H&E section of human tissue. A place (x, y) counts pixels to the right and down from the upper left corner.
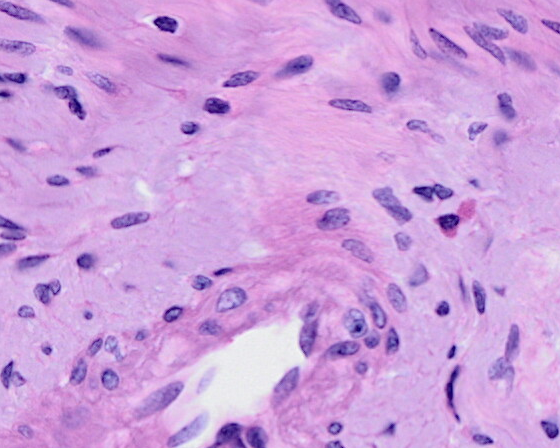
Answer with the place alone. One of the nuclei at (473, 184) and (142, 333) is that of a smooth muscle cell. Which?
(142, 333)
